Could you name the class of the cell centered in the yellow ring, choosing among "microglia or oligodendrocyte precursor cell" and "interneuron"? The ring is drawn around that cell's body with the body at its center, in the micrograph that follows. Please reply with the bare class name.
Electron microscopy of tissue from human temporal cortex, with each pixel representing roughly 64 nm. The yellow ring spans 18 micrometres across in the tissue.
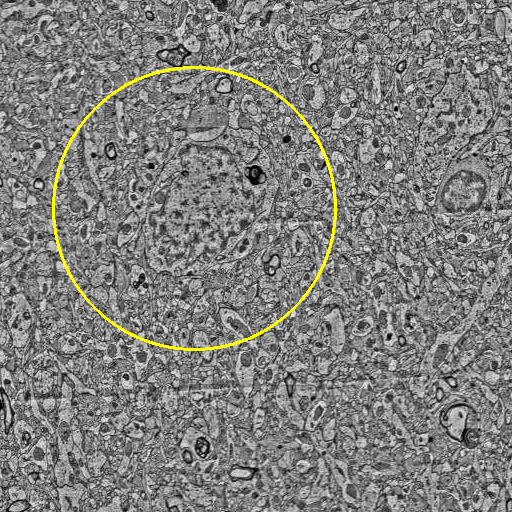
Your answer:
interneuron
